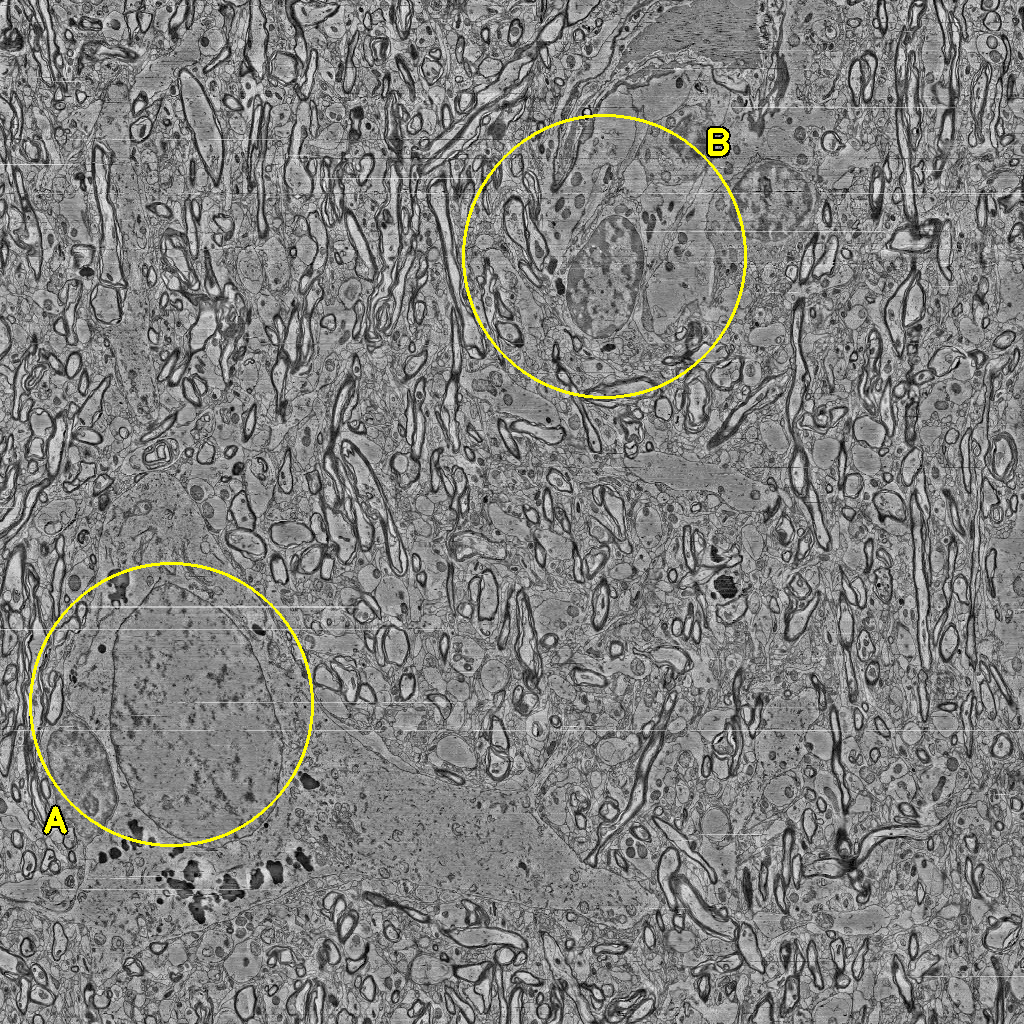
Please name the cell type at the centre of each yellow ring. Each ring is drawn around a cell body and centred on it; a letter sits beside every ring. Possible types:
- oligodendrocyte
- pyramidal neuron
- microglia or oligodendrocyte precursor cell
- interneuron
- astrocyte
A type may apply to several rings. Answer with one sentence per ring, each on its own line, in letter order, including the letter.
Ring A is centred on the cell body of a pyramidal neuron.
Ring B is centred on the cell body of a microglial cell or oligodendrocyte precursor cell.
